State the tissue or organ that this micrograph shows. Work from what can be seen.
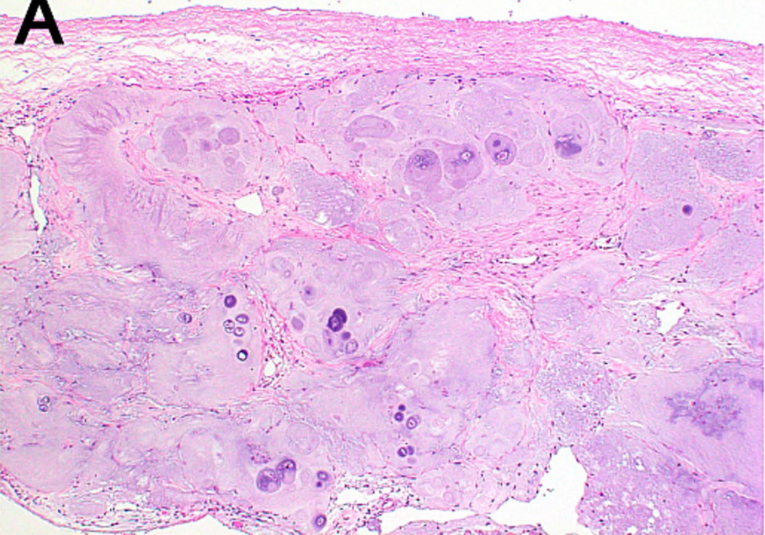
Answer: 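Lobules of pale bluish-pink glassy matrix. Scattered rounded cells sitting in lacunae within the matrix. Thin pink fibrous bands separating the lobules.
Hence: cartilage tissue.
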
